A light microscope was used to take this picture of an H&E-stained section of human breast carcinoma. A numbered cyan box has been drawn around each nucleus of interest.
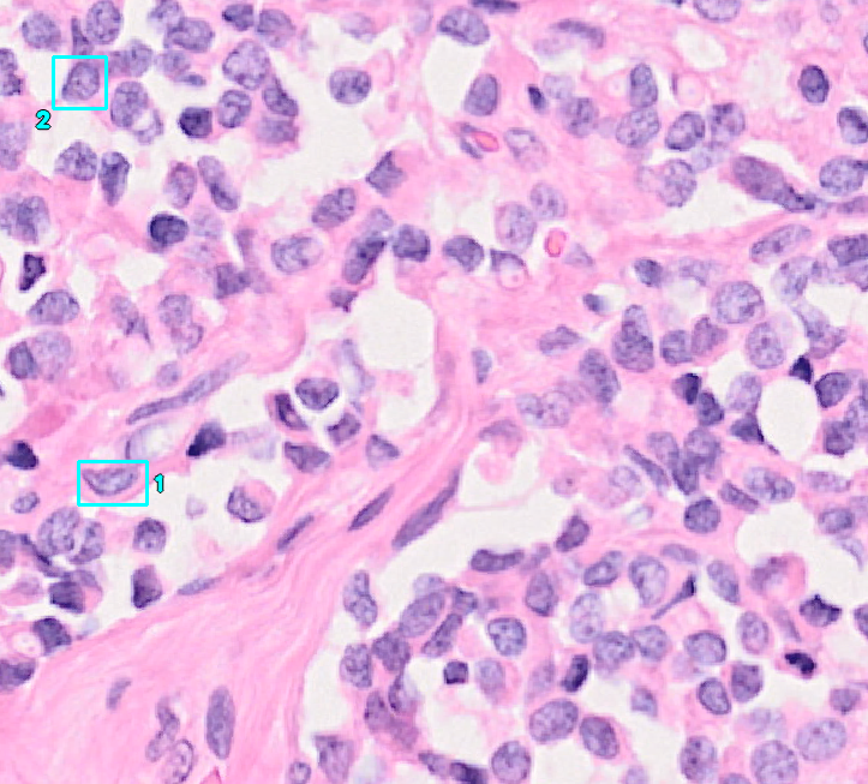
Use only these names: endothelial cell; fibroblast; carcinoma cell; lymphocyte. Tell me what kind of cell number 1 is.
endothelial cell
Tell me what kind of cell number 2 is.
carcinoma cell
